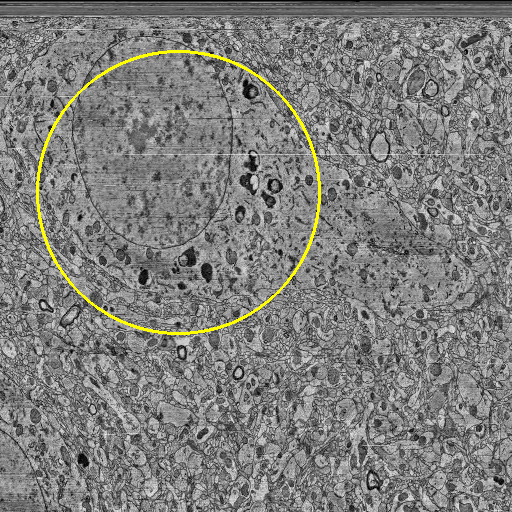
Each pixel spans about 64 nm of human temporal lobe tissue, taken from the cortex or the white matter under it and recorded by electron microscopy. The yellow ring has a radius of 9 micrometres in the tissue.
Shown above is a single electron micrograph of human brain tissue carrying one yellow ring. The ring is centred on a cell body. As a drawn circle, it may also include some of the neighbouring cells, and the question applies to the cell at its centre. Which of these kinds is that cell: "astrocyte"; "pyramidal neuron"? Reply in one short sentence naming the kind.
The cell marked by the ring is a pyramidal neuron.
